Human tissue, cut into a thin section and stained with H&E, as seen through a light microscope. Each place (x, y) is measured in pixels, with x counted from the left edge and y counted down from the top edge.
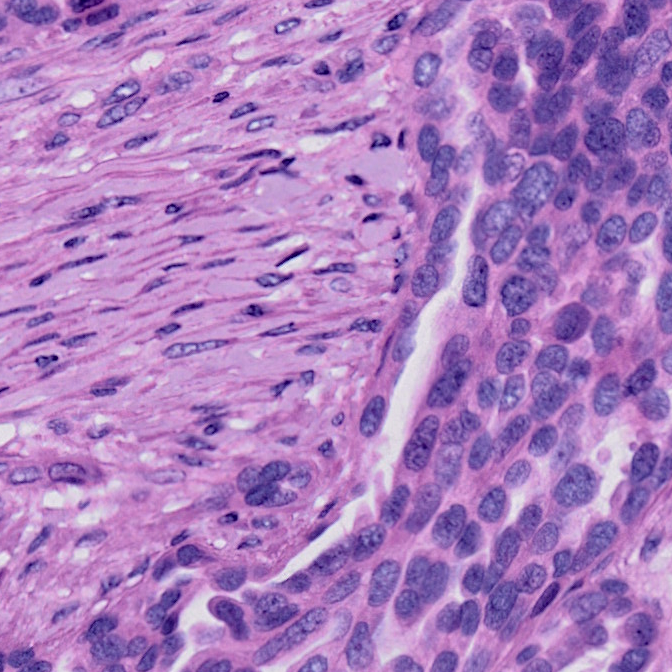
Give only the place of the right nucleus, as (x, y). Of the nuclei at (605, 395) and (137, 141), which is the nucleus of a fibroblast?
(137, 141)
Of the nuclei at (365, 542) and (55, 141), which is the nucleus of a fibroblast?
(55, 141)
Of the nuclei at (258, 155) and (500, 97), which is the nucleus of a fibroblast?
(258, 155)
